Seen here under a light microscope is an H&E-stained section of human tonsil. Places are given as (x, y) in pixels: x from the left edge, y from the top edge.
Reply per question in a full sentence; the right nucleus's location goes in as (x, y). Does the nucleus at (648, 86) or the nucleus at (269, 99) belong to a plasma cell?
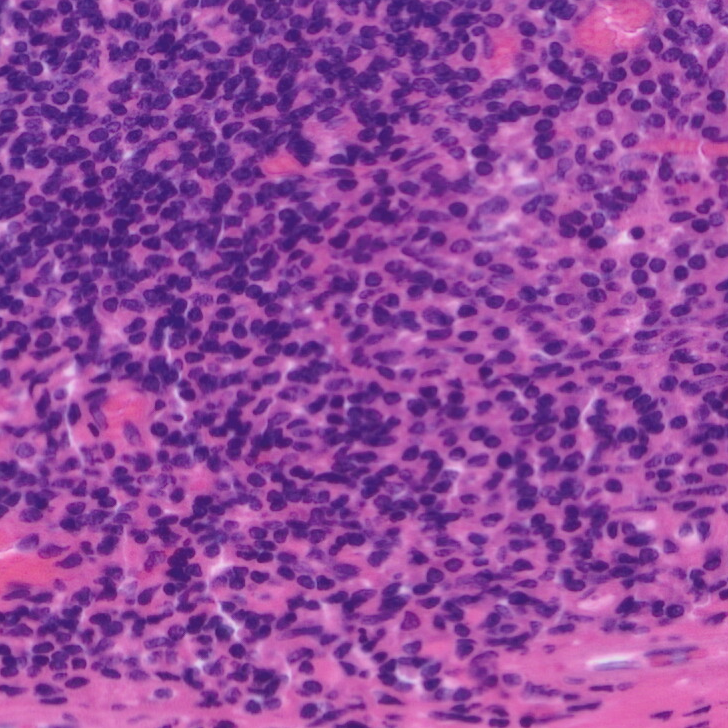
The nucleus that belongs to a plasma cell is located at (648, 86).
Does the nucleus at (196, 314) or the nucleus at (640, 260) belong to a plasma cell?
Located at (640, 260), this nucleus is the one belonging to a plasma cell.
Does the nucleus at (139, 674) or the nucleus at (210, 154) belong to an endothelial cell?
Of the two options, the nucleus at (139, 674) is the one that belongs to an endothelial cell.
